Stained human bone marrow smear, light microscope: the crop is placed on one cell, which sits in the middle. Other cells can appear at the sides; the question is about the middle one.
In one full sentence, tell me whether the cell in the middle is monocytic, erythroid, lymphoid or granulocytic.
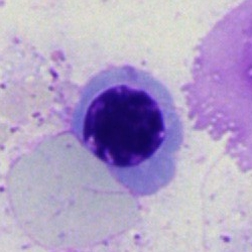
Designated erythroid in lineage is the cell at the center of the crop.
